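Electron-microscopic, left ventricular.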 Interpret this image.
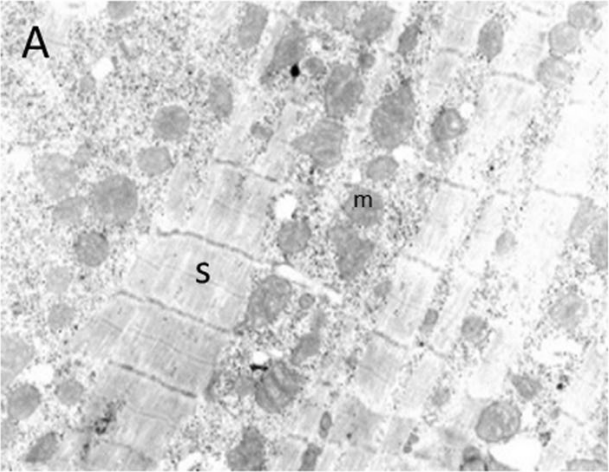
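This is an altered cardiac muscle cell whose cytoplasm is crowded with fine dense glycogen granules. Many small rounded mitochondria lie scattered within the granular cytoplasm between the myofibril bands.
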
